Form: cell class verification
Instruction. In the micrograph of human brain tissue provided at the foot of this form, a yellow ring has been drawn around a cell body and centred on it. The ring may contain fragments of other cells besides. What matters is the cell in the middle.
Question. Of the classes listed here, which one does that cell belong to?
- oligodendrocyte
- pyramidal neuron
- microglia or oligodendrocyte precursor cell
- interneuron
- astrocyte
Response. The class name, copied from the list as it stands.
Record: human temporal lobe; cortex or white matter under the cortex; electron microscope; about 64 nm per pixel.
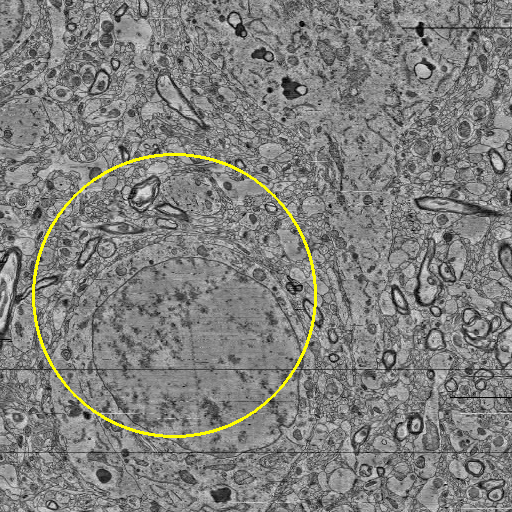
pyramidal neuron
